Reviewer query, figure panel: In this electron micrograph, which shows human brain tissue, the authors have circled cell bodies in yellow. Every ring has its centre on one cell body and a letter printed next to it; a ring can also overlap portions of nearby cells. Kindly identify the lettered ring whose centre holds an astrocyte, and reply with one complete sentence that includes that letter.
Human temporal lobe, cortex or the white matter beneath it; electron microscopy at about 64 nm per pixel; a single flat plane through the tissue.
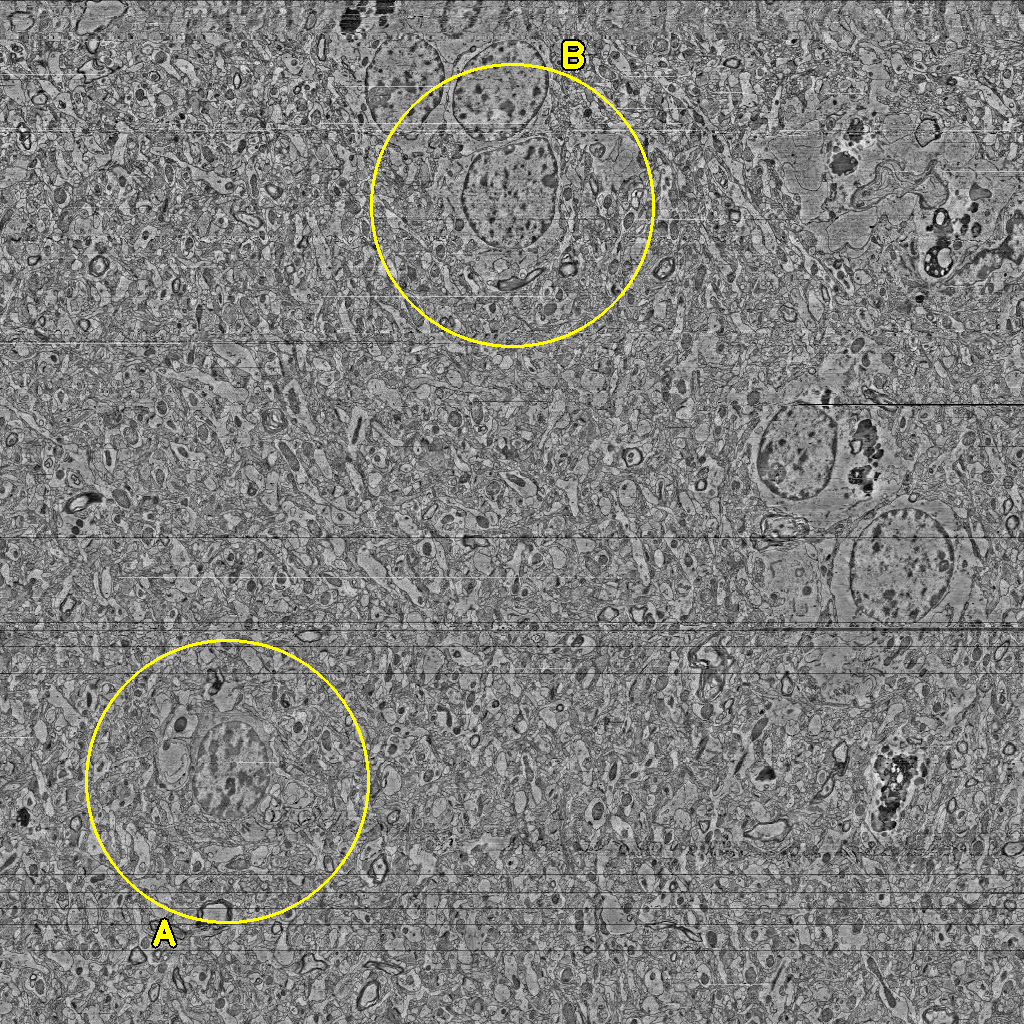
In this figure panel, the ring labelled B has the cell asked for at its centre.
